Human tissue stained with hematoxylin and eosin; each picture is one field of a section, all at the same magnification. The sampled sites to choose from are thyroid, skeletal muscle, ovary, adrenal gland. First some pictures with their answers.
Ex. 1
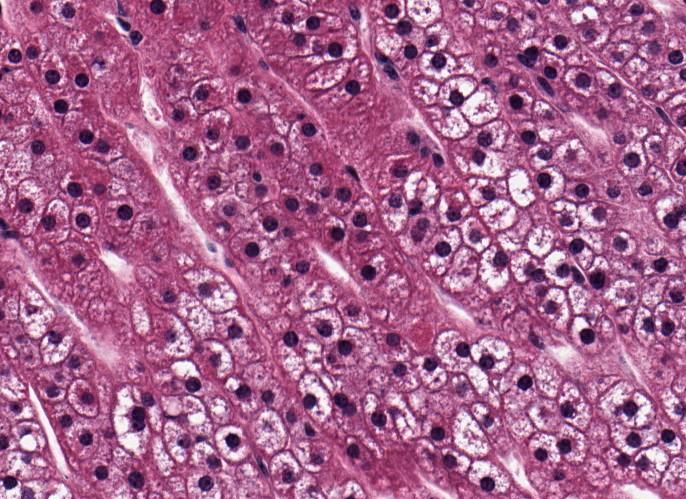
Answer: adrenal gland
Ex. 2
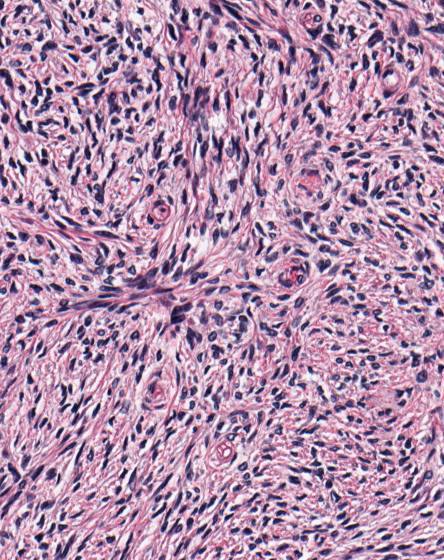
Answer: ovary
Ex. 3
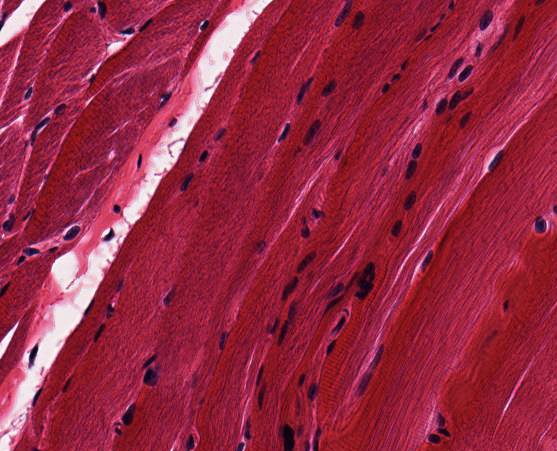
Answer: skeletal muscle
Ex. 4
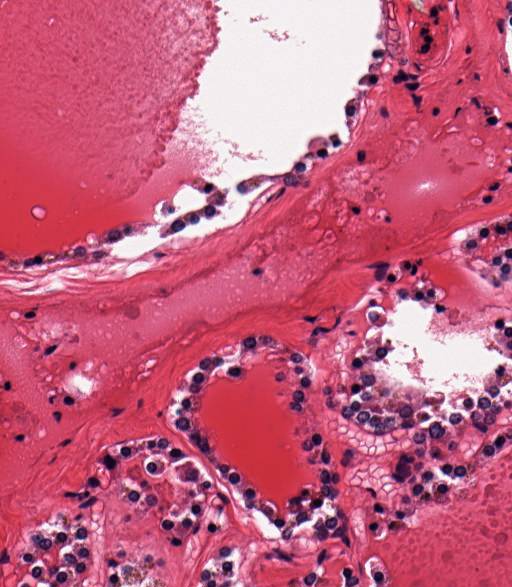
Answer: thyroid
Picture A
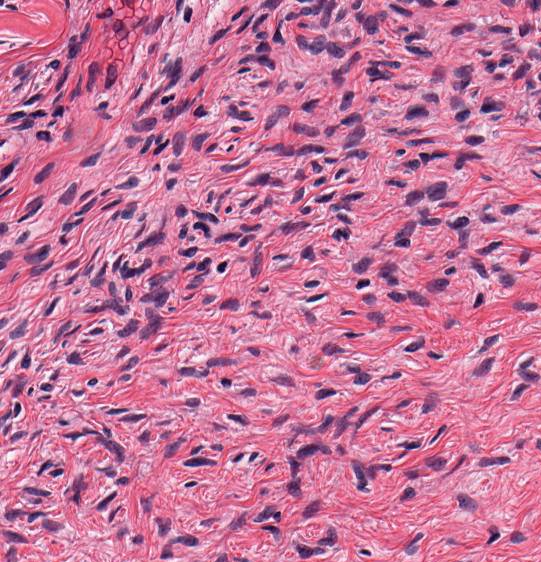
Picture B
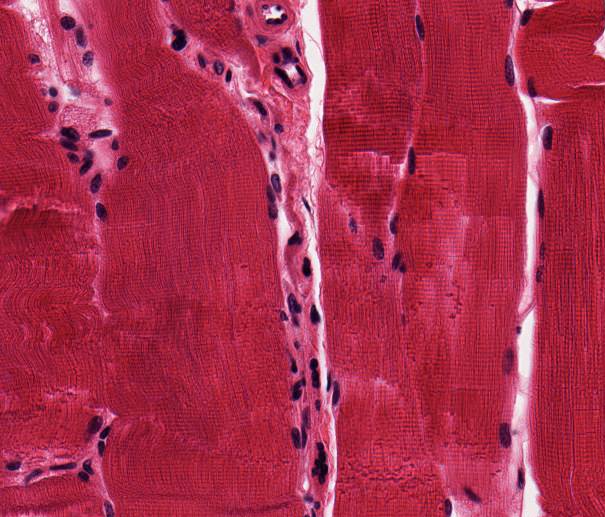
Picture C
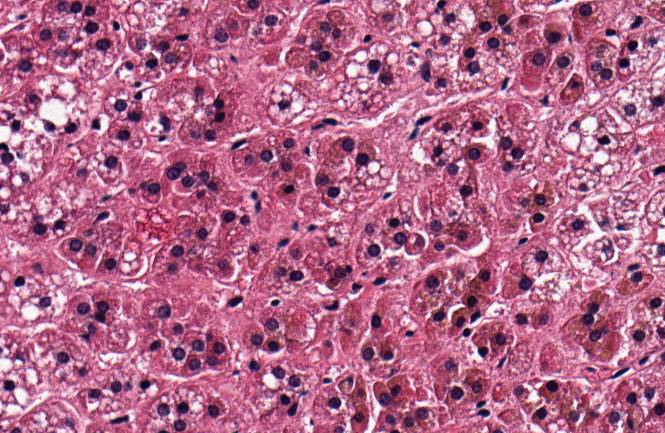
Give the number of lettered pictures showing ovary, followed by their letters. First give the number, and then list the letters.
1, namely A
